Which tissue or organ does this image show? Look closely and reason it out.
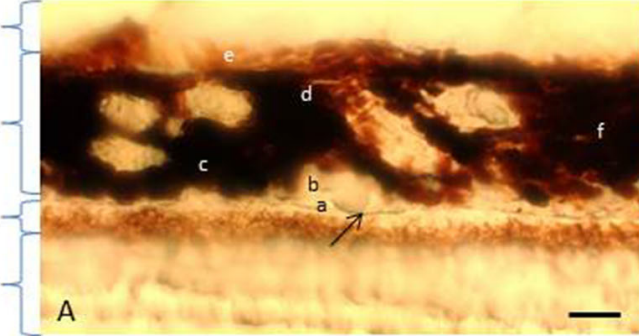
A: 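Choroid. A densely dark brown pigmented layer lies between a pale striated layer below and a thin pale layer above. Large pale round vessel lumens sit within the pigmented layer.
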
